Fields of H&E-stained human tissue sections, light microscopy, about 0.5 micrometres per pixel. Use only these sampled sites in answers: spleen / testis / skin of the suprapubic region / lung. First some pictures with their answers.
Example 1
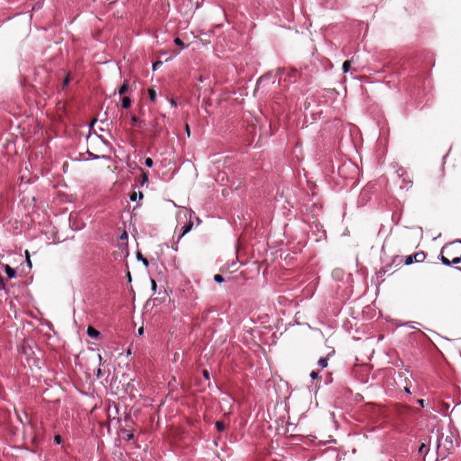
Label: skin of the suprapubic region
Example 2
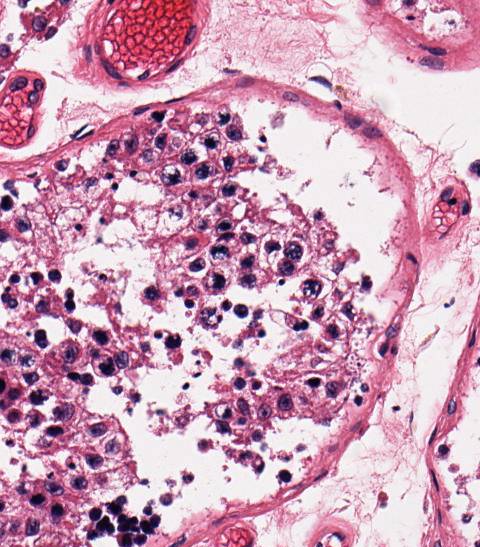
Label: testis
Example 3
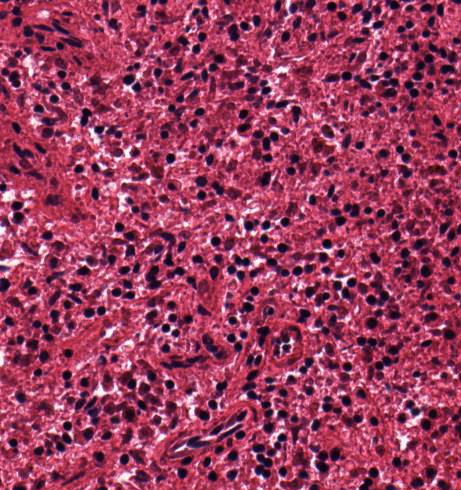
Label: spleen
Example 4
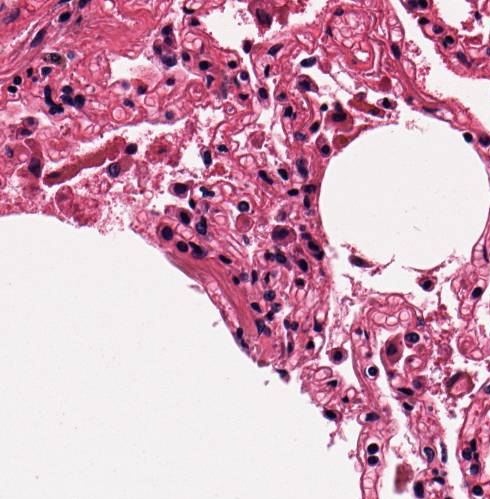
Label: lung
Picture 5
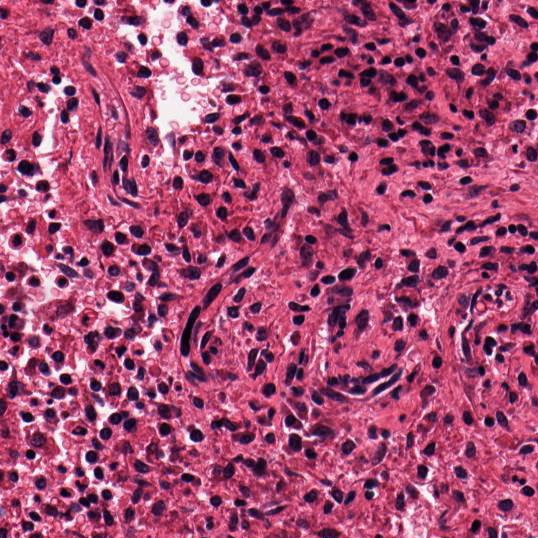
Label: spleen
